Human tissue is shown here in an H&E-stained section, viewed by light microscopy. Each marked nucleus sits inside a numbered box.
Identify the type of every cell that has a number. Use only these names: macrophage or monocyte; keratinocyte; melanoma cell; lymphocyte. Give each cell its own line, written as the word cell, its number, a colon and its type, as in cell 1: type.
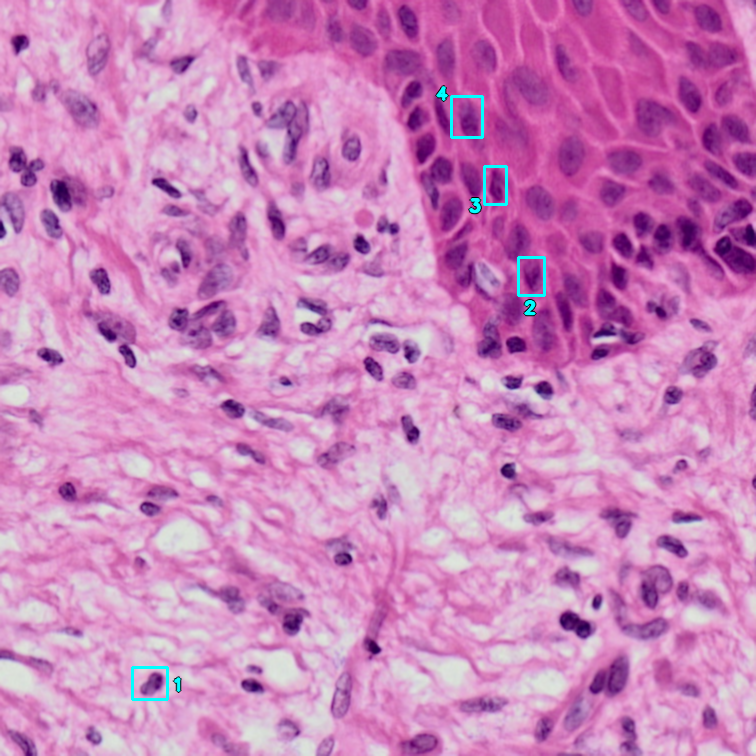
cell 1: lymphocyte
cell 2: keratinocyte
cell 3: keratinocyte
cell 4: keratinocyte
